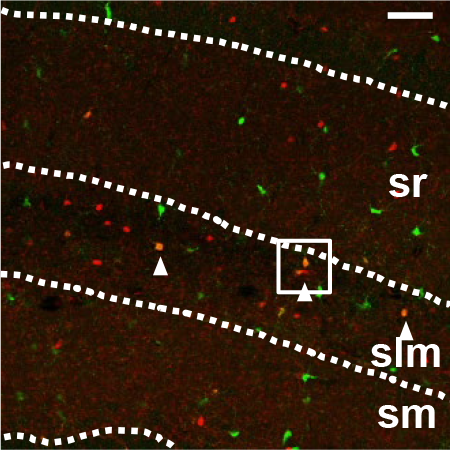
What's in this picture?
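A hippocampal section divided by dashed lines into layers, containing many small green branched glial cells and numerous small red rounded cell bodies. Several cells, marked by arrowheads and one boxed, show overlapping green and red and look yellow-orange, with compact rounded bodies.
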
